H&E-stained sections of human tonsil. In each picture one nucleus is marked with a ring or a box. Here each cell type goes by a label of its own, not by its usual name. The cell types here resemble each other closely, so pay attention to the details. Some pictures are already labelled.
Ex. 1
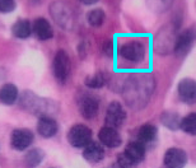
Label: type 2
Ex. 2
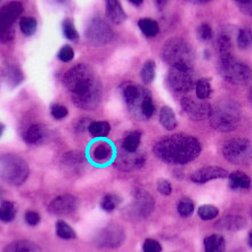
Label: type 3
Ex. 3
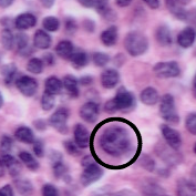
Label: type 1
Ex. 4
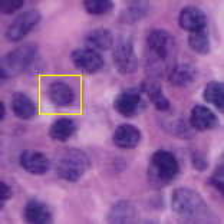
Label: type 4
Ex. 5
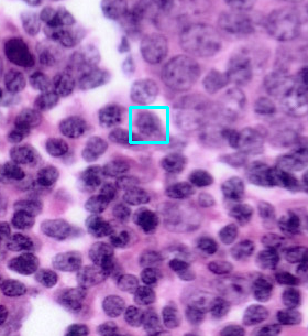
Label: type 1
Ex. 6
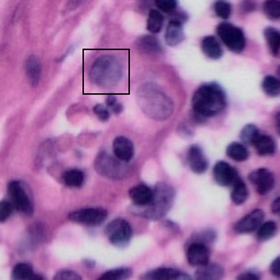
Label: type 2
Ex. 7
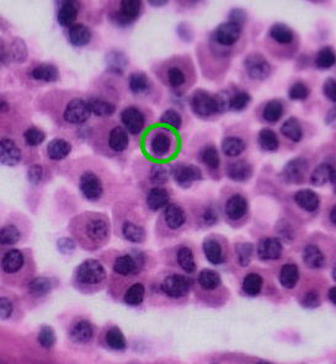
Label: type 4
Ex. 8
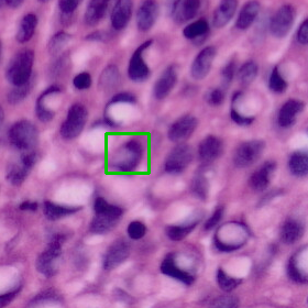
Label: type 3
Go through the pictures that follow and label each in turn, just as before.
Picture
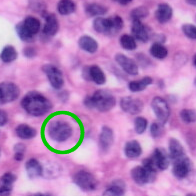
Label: type 1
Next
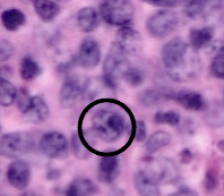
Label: type 1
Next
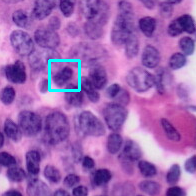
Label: type 1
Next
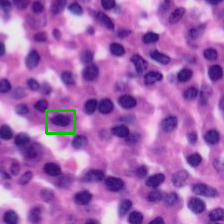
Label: type 4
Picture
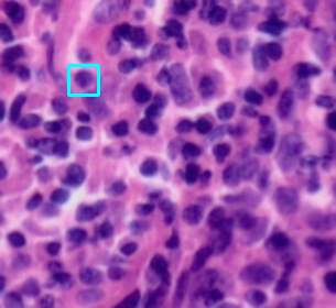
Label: type 2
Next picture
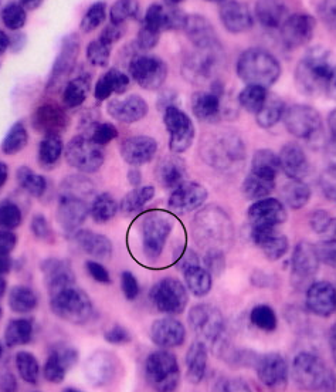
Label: type 1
